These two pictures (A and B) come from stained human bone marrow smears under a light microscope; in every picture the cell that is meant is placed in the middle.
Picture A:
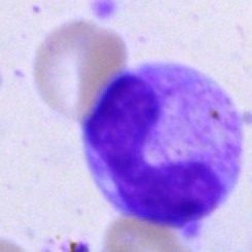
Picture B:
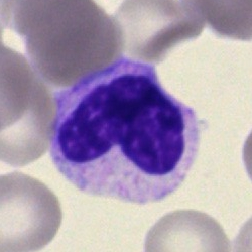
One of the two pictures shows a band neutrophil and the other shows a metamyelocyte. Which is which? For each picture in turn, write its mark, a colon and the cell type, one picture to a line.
A: band neutrophil
B: metamyelocyte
